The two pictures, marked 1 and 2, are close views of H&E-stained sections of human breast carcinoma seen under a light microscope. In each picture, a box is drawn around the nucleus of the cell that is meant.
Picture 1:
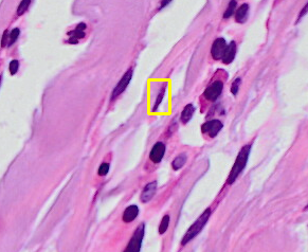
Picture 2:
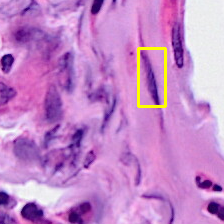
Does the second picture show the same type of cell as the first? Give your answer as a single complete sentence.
Yes; the cells in both pictures are fibroblasts.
